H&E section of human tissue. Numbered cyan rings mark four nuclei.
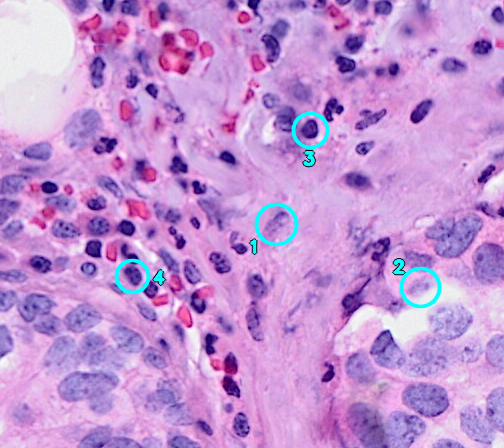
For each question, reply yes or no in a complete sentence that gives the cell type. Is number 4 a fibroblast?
No, the cell identified by number 4 is a lymphocyte, not a fibroblast.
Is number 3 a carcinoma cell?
No, what is marked as number 3 is a lymphocyte rather than a carcinoma cell.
